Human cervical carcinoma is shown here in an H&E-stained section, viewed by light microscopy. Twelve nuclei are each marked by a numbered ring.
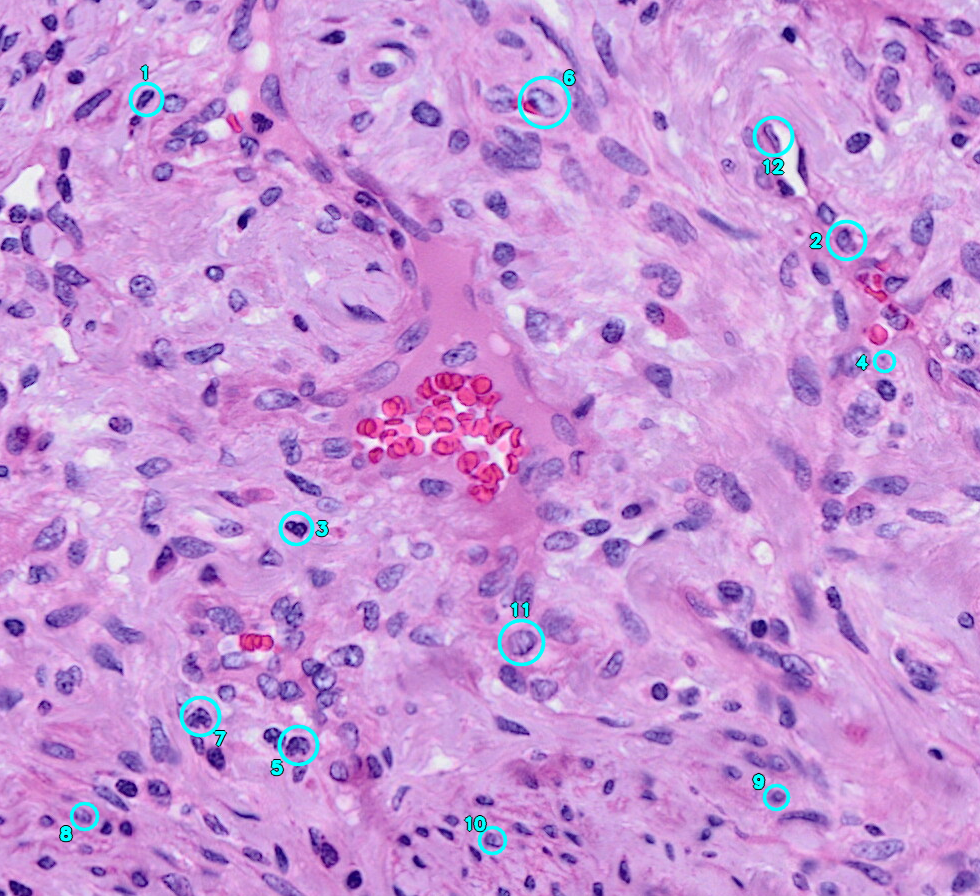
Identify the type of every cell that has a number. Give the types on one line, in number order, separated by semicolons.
lymphocyte; endothelial cell; lymphocyte; endothelial cell; lymphocyte; endothelial cell; lymphocyte; smooth muscle cell; smooth muscle cell; smooth muscle cell; endothelial cell; endothelial cell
